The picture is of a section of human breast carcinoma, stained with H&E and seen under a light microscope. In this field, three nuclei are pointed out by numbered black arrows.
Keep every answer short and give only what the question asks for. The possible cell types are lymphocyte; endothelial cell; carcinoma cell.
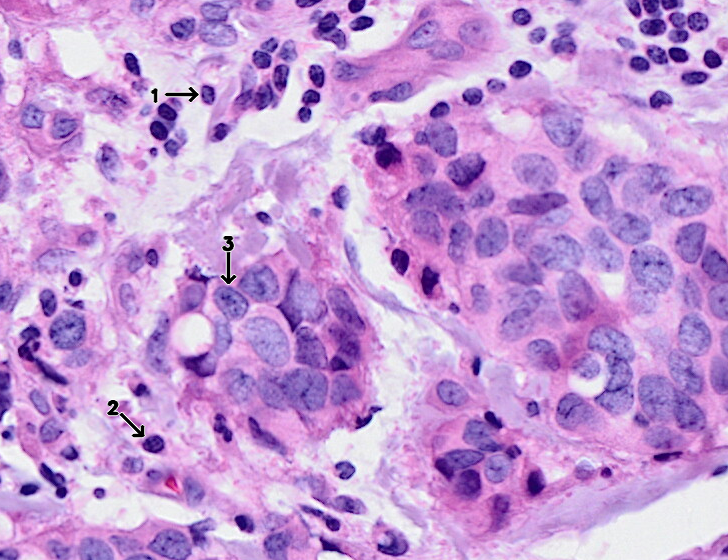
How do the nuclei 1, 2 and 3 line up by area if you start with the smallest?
1, 2, 3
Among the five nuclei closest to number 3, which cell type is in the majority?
carcinoma cell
